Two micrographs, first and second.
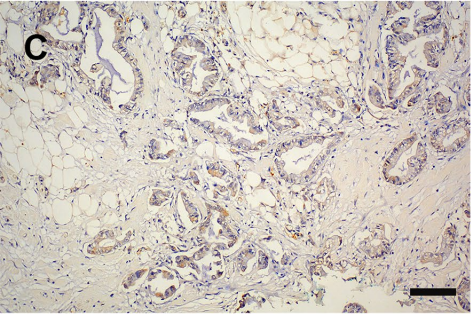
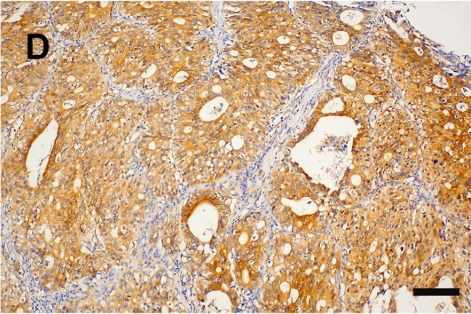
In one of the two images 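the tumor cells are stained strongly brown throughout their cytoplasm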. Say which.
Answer: The second image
